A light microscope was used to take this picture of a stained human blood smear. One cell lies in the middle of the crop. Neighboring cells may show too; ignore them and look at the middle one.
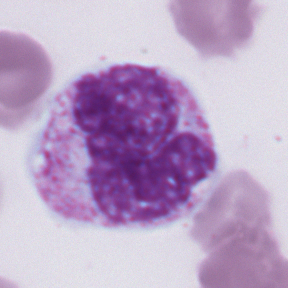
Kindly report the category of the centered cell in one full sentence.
Classification of the middle cell gives a band neutrophil.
